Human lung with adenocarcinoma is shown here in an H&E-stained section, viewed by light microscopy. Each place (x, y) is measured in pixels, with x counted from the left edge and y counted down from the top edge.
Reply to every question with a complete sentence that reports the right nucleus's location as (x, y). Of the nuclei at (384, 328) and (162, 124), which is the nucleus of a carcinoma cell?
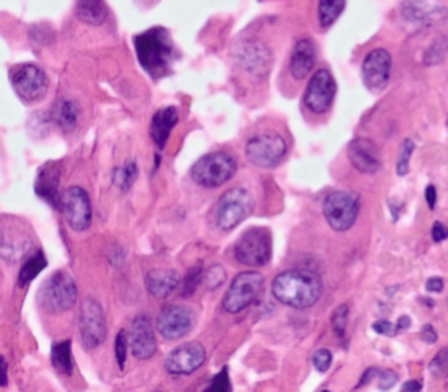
Among the two, the nucleus at (162, 124) is the nucleus of a carcinoma cell.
